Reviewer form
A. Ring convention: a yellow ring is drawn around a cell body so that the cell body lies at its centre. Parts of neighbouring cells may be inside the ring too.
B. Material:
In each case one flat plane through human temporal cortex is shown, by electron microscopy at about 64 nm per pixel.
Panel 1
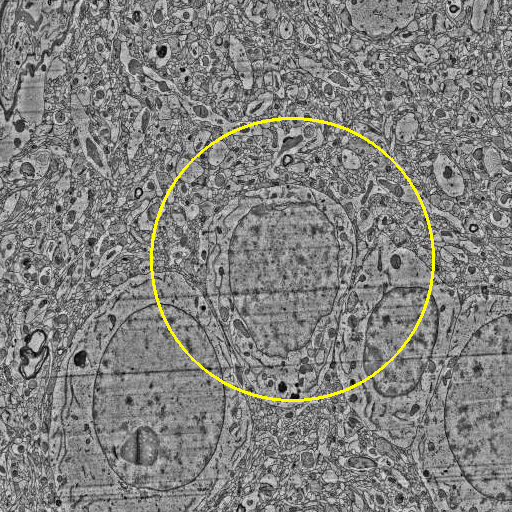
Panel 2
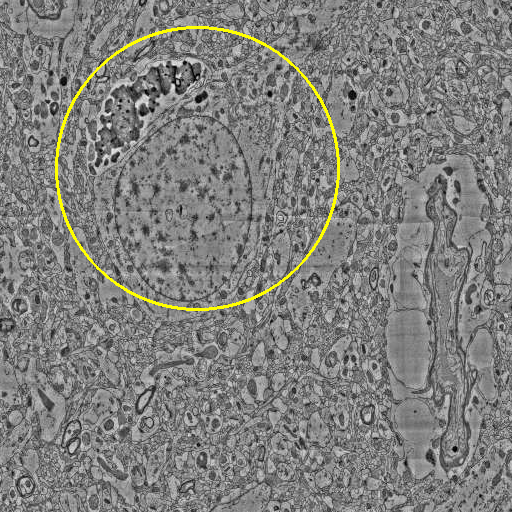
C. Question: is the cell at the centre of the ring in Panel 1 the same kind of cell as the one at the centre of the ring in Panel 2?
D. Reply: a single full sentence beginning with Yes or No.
No, the cells in Panel 1 and Panel 2 are two kinds of cell.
